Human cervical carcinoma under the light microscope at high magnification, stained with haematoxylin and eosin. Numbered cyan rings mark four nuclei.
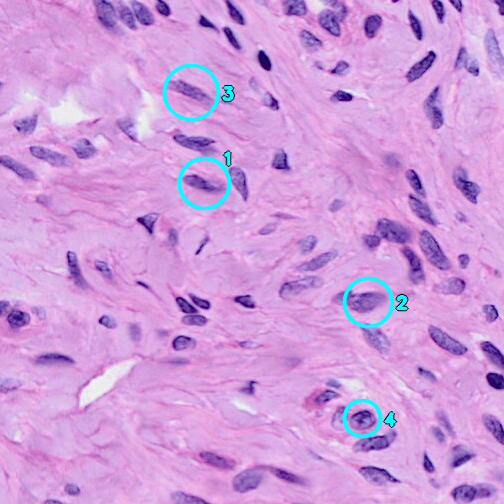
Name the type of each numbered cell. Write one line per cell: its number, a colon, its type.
1: fibroblast
2: fibroblast
3: smooth muscle cell
4: endothelial cell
